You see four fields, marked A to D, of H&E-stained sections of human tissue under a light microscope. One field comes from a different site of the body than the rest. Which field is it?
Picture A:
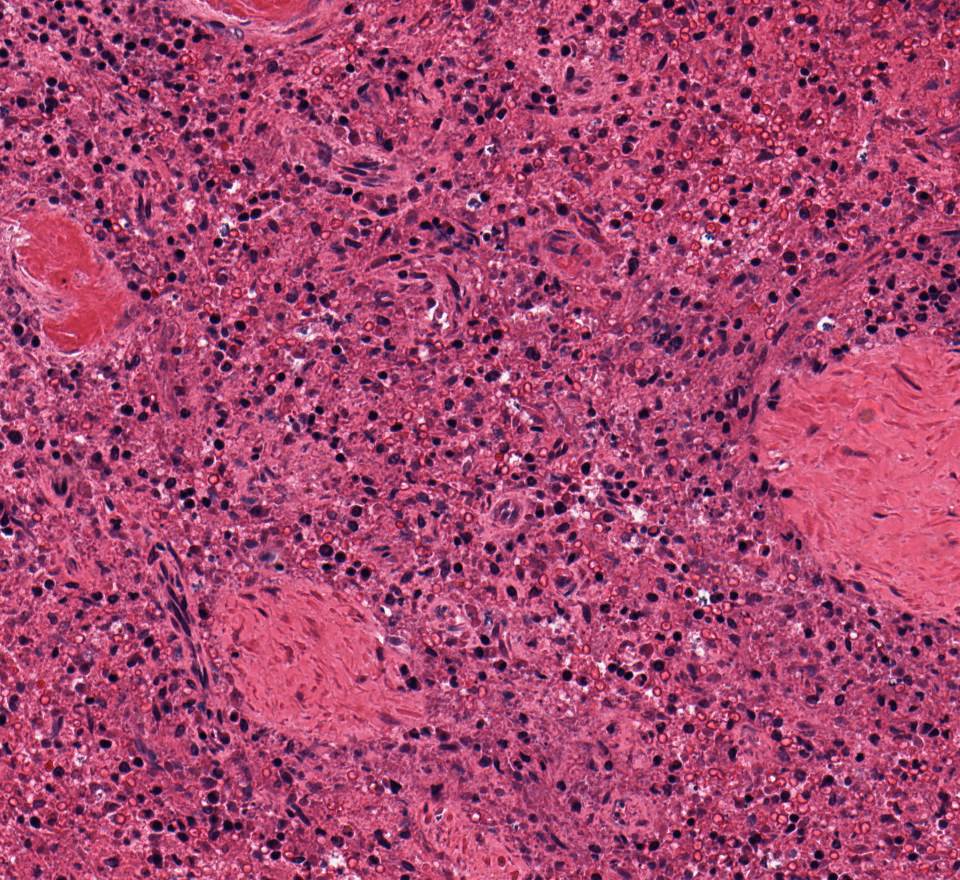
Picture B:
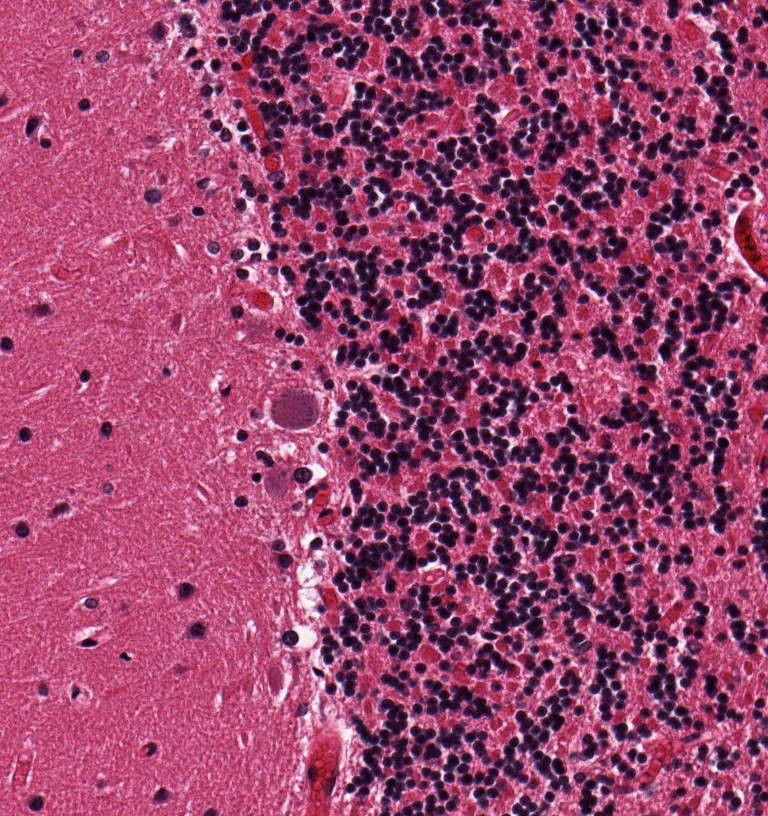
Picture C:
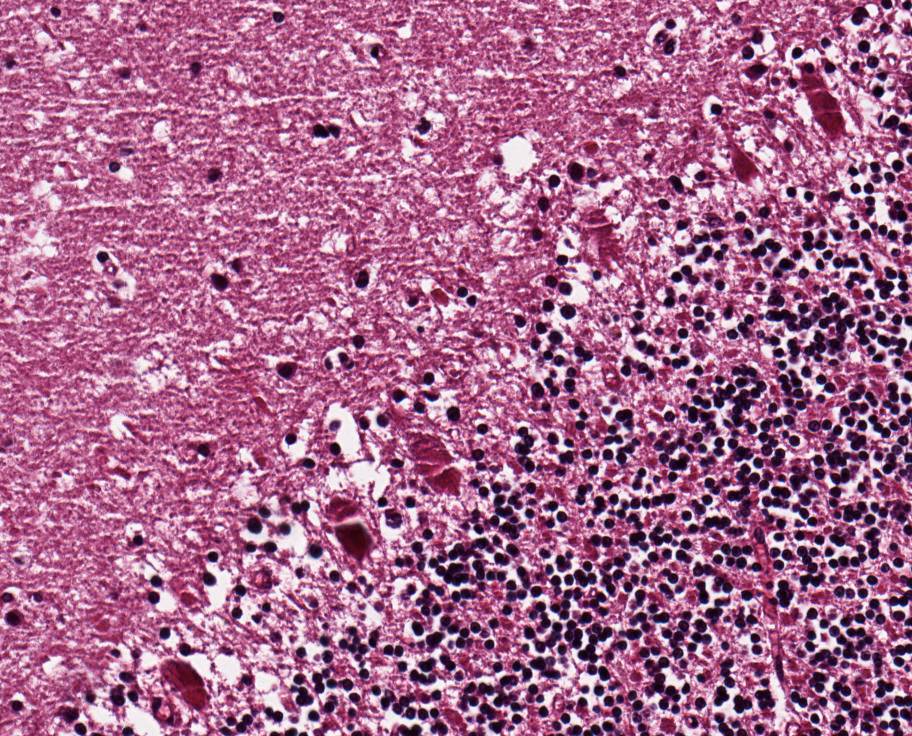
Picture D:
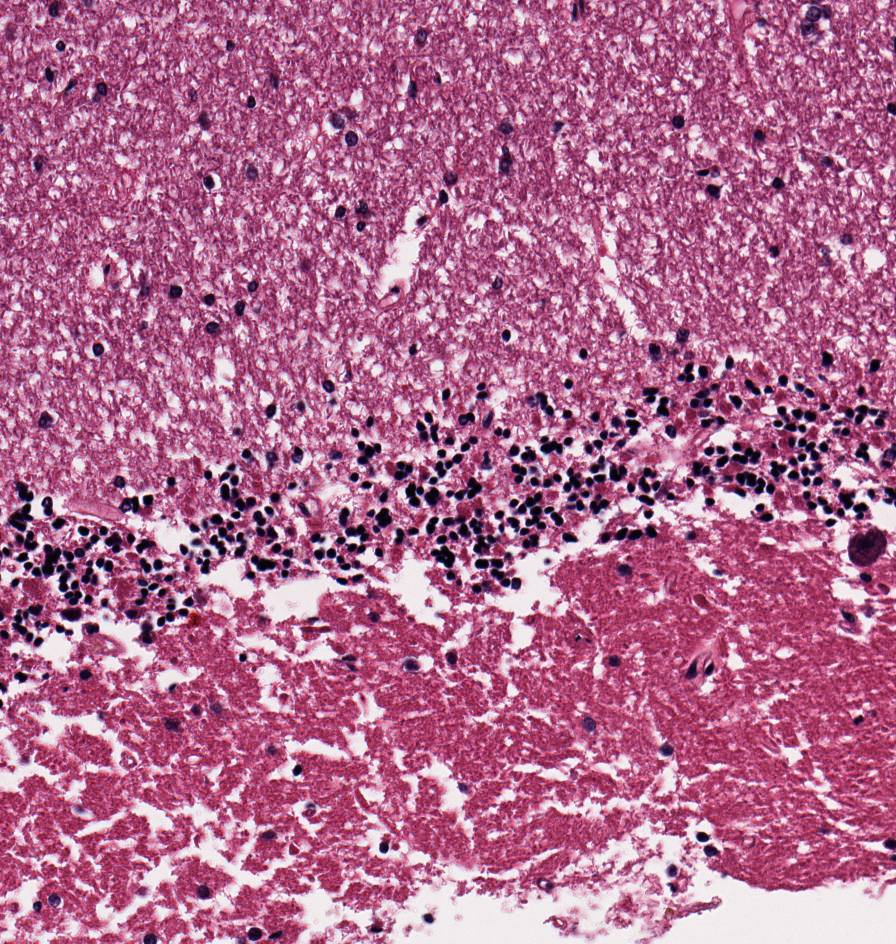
A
